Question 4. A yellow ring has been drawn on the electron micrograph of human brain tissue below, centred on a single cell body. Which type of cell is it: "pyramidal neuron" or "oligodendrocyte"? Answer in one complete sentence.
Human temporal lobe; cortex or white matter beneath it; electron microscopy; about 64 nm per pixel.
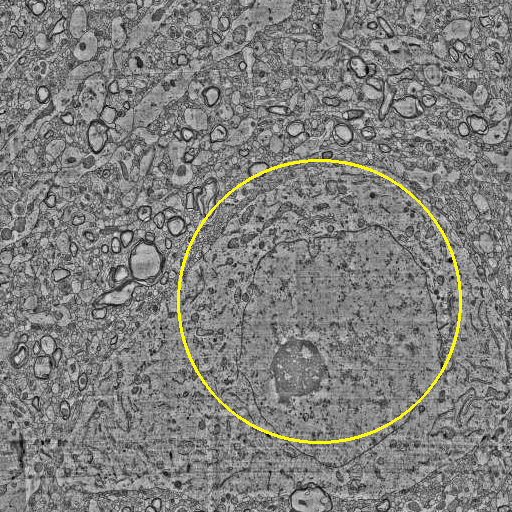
This cell body belongs to a pyramidal neuron.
